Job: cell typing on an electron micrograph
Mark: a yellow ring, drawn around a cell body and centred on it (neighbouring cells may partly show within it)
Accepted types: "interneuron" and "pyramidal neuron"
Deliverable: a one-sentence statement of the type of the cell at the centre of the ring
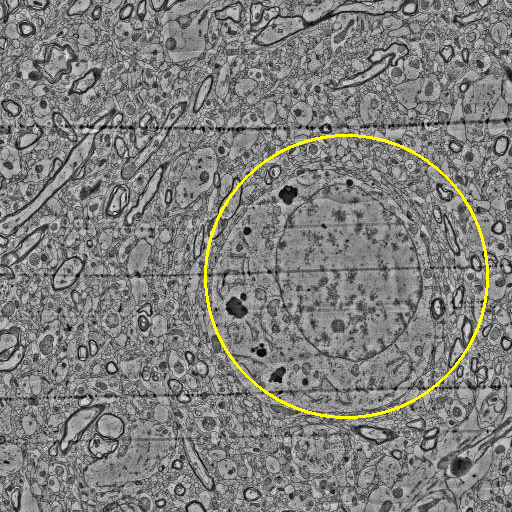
The centred cell body is that of a pyramidal neuron.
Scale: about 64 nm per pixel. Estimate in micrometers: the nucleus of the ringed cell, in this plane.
Roughly 11 micrometers across, in this plane.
